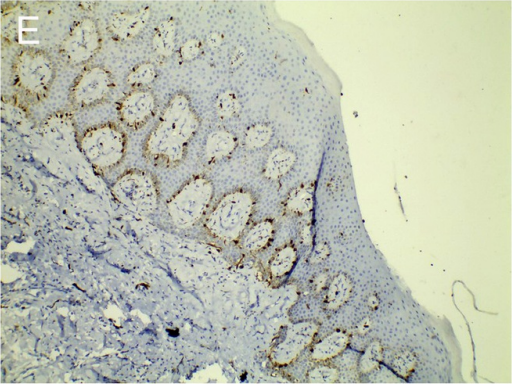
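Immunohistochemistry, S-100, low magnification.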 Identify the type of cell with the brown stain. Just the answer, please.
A: Melanocytes.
